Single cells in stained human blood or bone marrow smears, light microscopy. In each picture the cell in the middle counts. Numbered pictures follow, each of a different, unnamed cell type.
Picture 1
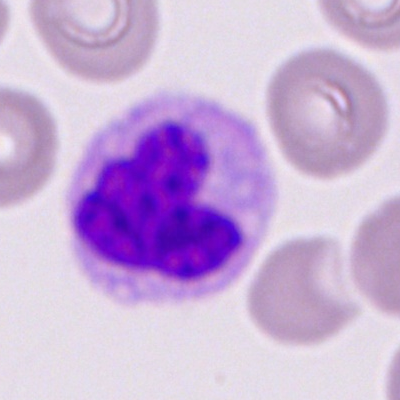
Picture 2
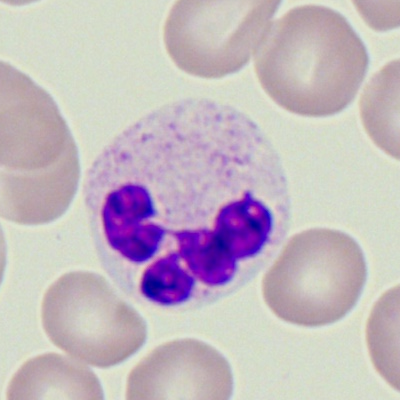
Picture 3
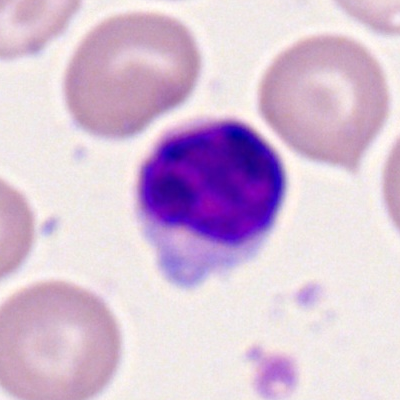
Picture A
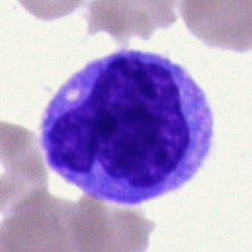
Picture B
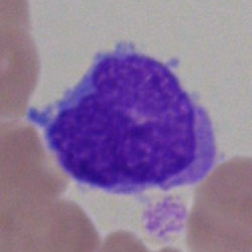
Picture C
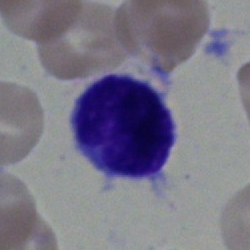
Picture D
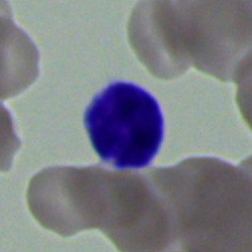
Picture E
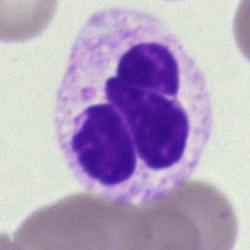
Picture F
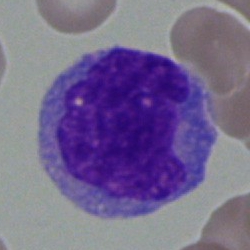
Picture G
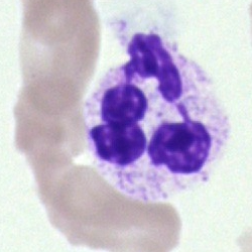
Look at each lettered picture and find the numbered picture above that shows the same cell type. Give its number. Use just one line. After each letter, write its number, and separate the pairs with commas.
A 1, B 1, C 3, D 3, E 2, F 1, G 2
